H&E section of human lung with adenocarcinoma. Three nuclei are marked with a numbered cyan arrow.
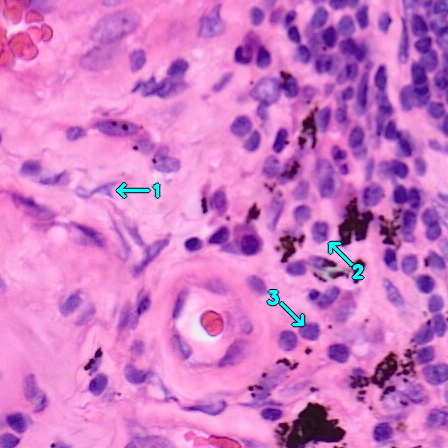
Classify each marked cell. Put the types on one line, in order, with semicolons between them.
fibroblast; lymphocyte; lymphocyte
